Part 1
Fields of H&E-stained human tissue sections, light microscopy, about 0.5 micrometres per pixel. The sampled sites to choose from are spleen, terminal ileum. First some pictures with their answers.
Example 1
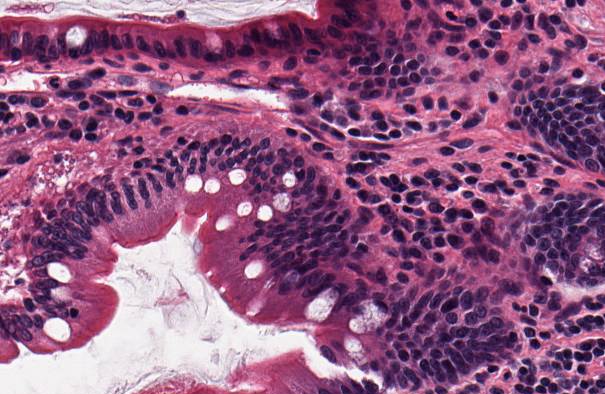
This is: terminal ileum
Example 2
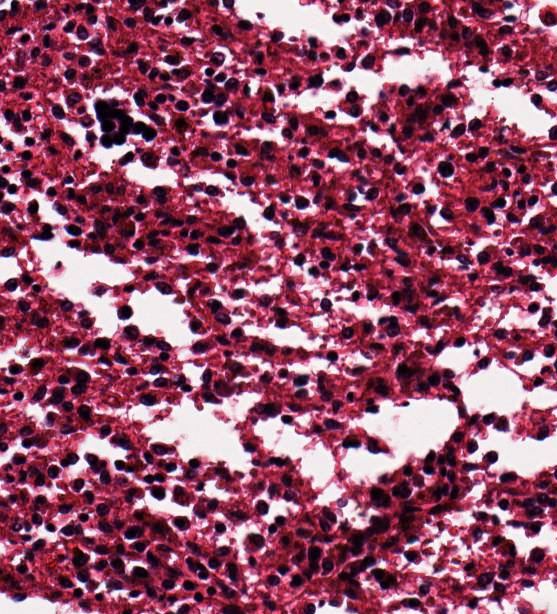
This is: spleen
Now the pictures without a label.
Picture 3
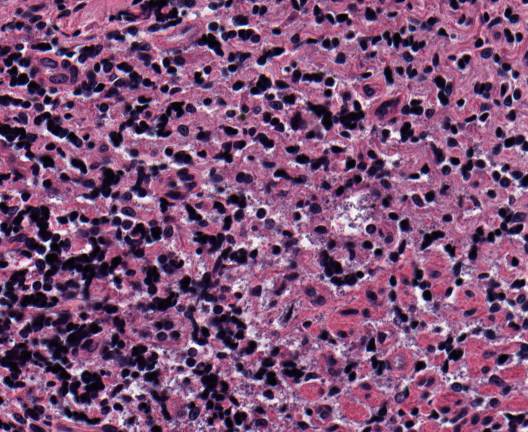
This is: terminal ileum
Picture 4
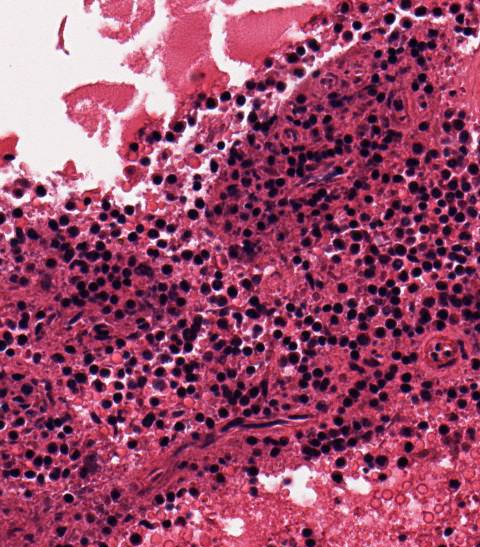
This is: spleen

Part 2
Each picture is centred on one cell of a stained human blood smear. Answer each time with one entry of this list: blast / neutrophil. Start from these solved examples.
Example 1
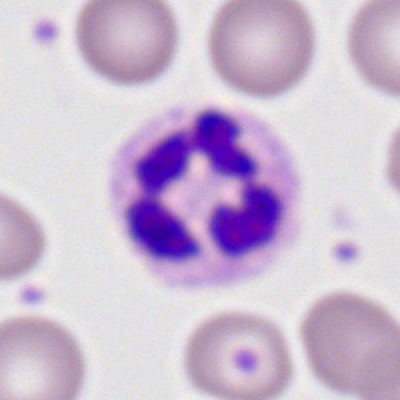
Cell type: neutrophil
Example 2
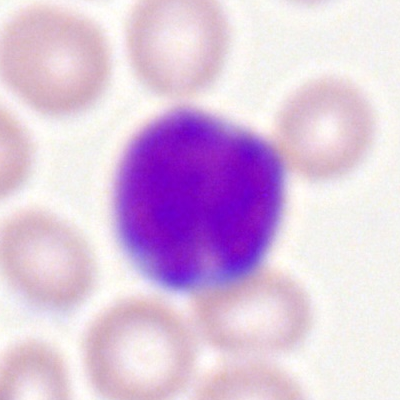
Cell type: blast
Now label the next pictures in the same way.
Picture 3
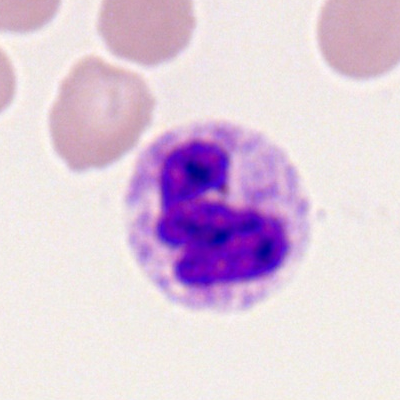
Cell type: neutrophil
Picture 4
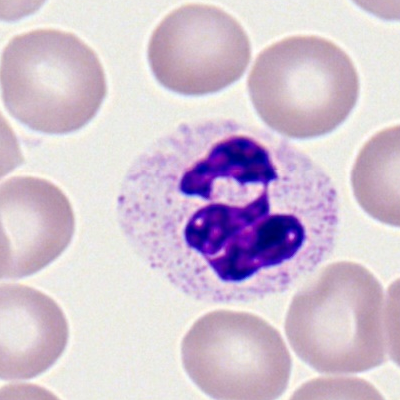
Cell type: neutrophil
